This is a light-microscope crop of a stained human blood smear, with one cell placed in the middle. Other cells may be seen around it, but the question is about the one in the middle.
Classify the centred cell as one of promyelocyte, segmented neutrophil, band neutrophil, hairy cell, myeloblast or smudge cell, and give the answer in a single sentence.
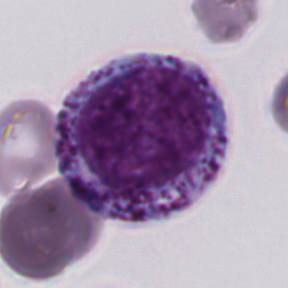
This crop's central cell is a promyelocyte.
